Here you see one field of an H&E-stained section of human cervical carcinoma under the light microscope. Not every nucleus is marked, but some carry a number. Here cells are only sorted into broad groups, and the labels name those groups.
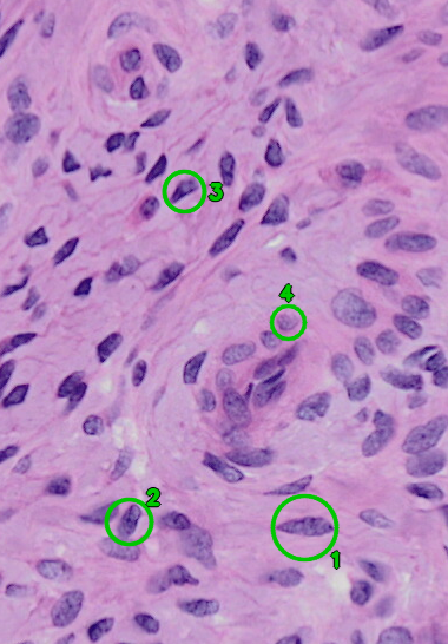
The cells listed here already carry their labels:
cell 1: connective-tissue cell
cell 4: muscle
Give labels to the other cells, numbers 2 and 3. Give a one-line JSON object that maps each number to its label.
{"2": "connective-tissue cell", "3": "connective-tissue cell"}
